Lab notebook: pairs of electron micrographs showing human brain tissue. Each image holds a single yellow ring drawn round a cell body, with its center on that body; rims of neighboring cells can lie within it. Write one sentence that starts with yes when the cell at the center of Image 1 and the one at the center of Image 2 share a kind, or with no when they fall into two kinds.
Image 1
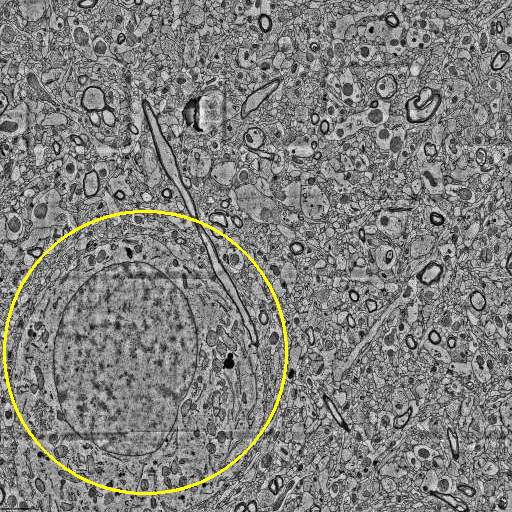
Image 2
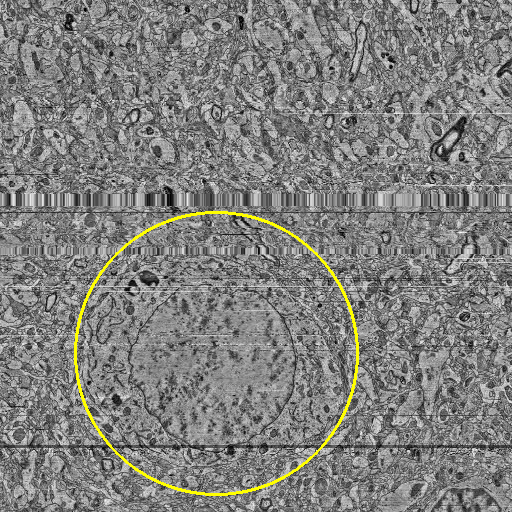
No, the centered cell in Image 1 and the centered cell in Image 2 are of two kinds.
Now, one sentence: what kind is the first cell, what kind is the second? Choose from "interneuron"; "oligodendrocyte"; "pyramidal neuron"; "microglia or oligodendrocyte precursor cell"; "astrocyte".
The first picture has an interneuron at its ring centre, and the second has a pyramidal neuron.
